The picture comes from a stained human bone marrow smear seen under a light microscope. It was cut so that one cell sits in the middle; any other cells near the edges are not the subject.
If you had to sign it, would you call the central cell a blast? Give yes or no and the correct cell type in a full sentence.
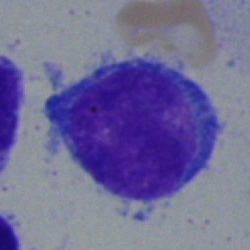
Yes, the cell sitting in the center is a blast.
